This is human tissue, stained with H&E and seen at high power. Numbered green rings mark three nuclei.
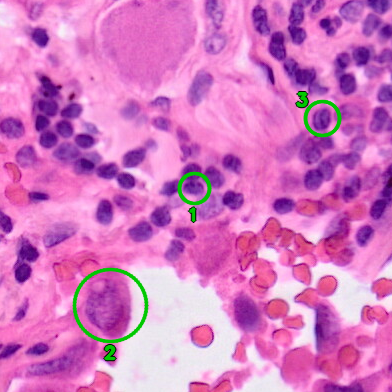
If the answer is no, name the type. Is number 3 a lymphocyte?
Yes.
